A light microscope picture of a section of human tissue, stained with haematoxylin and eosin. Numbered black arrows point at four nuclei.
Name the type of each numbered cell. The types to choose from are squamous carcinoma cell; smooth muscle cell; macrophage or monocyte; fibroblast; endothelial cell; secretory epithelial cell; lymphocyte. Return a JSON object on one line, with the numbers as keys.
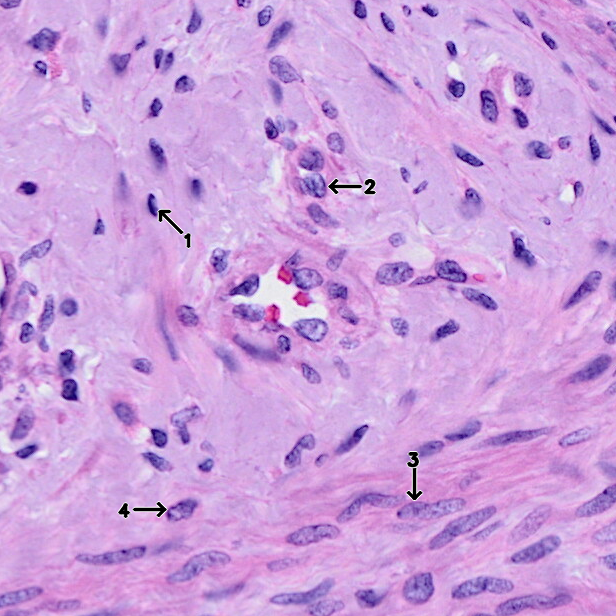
{"1": "fibroblast", "2": "endothelial cell", "3": "smooth muscle cell", "4": "smooth muscle cell"}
